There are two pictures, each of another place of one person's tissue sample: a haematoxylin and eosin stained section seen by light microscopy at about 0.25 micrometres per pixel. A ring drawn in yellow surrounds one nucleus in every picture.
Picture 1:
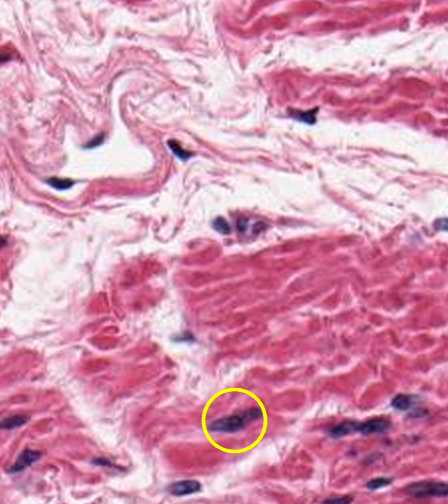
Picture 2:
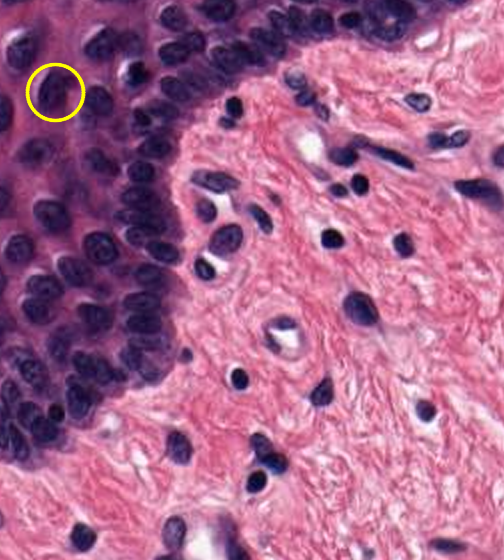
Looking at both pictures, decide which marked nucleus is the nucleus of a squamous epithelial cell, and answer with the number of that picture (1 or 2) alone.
2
